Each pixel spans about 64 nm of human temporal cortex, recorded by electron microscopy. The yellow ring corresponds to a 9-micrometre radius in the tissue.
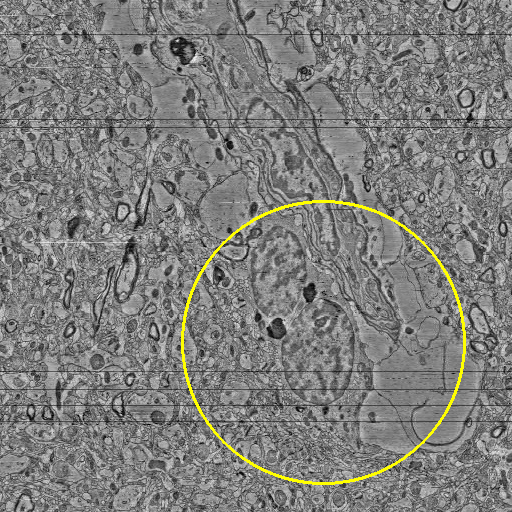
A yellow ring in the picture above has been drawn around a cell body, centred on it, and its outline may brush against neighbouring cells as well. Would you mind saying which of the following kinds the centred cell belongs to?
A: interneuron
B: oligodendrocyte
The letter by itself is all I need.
B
